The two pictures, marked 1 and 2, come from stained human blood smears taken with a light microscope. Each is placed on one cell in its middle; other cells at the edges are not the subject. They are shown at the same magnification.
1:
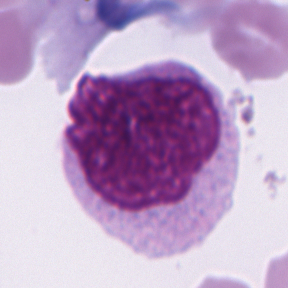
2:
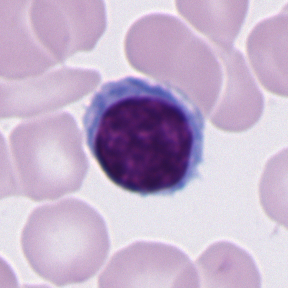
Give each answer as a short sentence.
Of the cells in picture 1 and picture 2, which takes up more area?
Picture 1 holds the larger cell; it covers about 2.5 times the area of the cell in picture 2.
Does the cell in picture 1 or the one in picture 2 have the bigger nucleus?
It is the nucleus in picture 1, about 2 times as large in area as the one in picture 2.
